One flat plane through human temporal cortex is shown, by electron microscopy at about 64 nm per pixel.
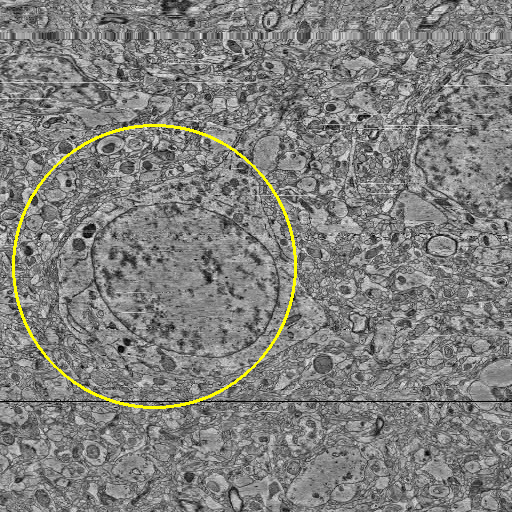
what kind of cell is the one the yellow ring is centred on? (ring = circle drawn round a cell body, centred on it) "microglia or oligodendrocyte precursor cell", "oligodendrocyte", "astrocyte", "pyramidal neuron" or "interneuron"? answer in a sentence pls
The ring is drawn around a pyramidal neuron.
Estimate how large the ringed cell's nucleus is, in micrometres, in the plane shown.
The ringed cell's nucleus measures approximately 12 by 10 micrometres in this plane.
